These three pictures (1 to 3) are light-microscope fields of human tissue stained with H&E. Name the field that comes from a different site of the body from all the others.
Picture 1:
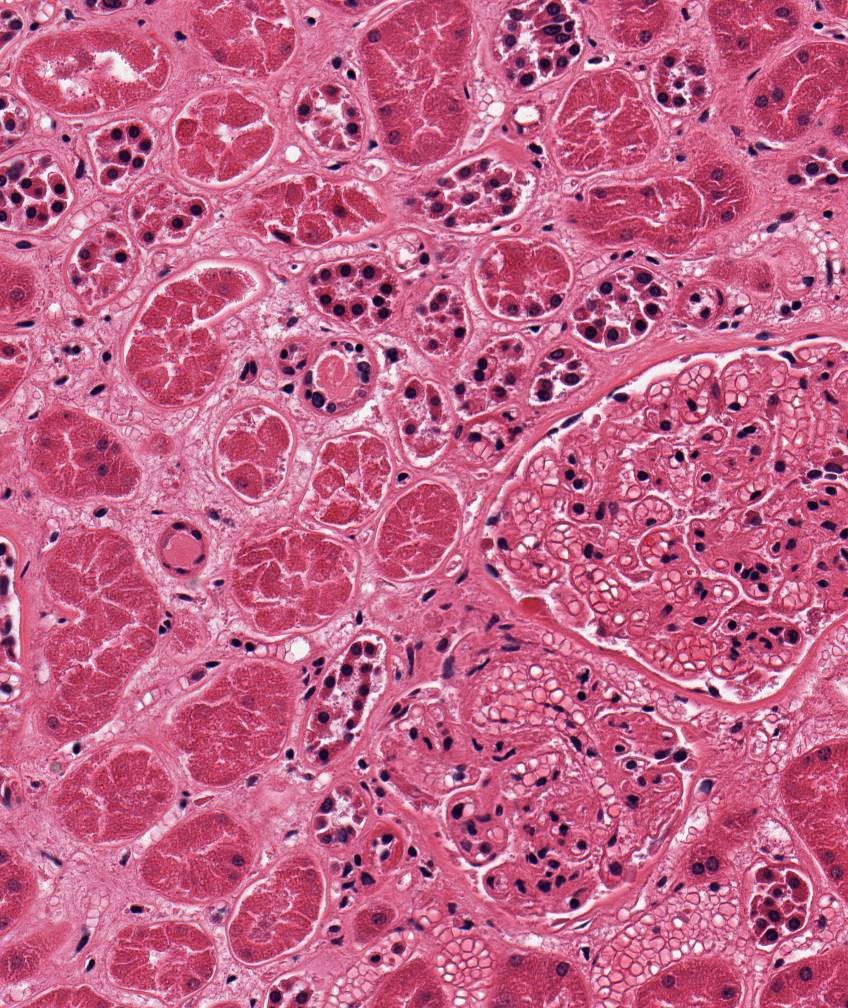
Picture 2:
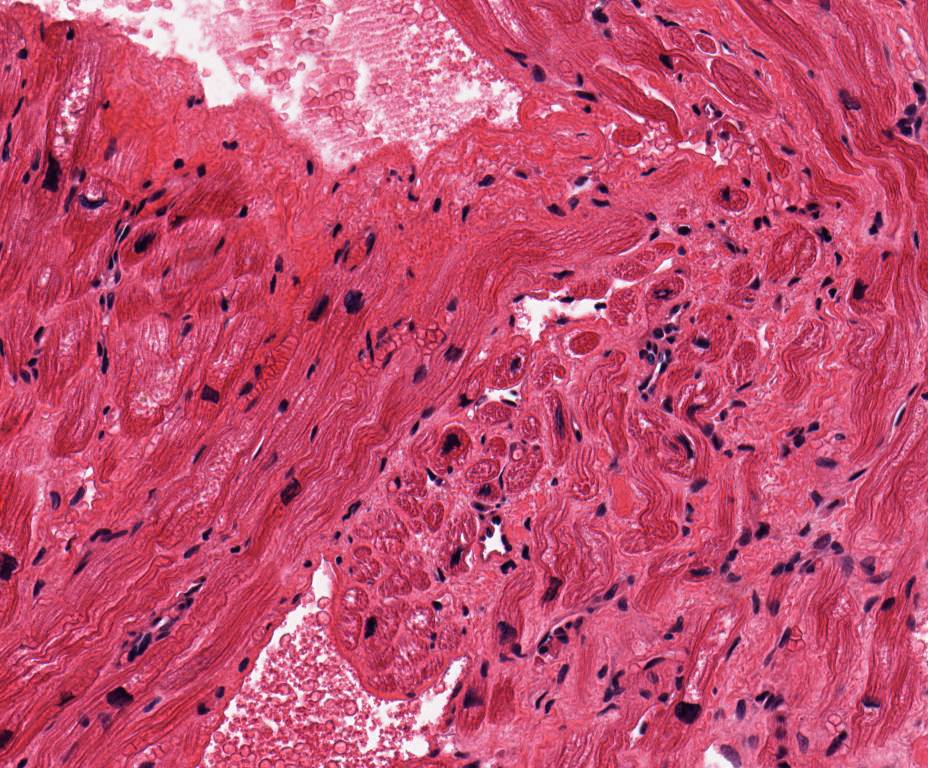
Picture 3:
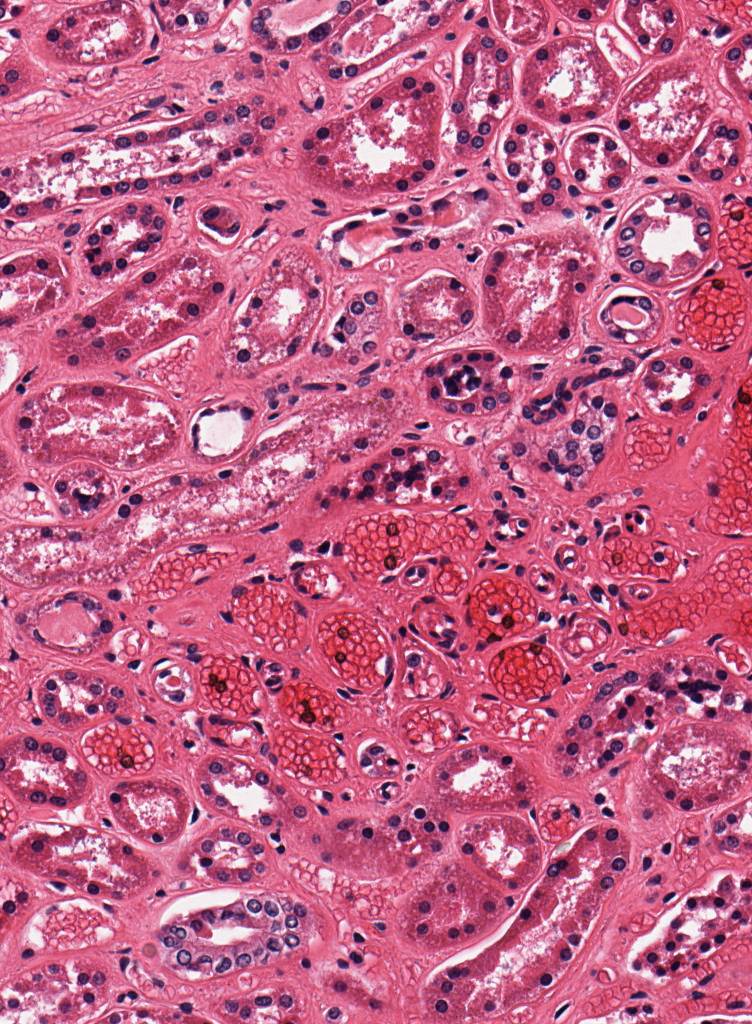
2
